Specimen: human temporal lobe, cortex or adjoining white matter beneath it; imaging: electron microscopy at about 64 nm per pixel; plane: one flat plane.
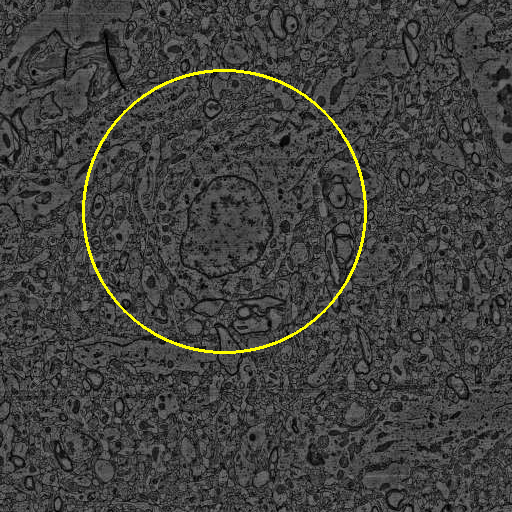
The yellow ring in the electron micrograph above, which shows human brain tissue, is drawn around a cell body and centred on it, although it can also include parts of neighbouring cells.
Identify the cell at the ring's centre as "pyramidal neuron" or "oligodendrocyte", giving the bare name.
pyramidal neuron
